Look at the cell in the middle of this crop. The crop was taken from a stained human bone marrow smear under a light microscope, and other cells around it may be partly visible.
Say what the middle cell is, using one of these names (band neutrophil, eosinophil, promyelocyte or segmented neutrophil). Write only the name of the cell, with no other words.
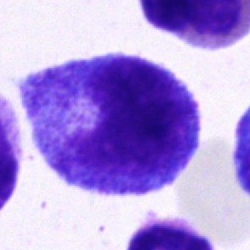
promyelocyte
